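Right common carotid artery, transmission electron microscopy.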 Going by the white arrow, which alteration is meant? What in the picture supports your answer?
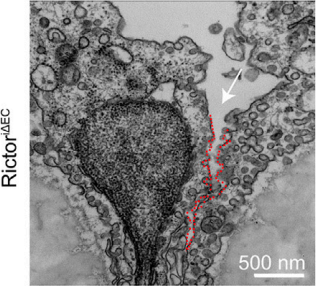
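Widening of the gap at the junction between cells. The arrow points to an open cleft between two adjacent cells. The cleft is wide at the luminal side and narrows further down.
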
